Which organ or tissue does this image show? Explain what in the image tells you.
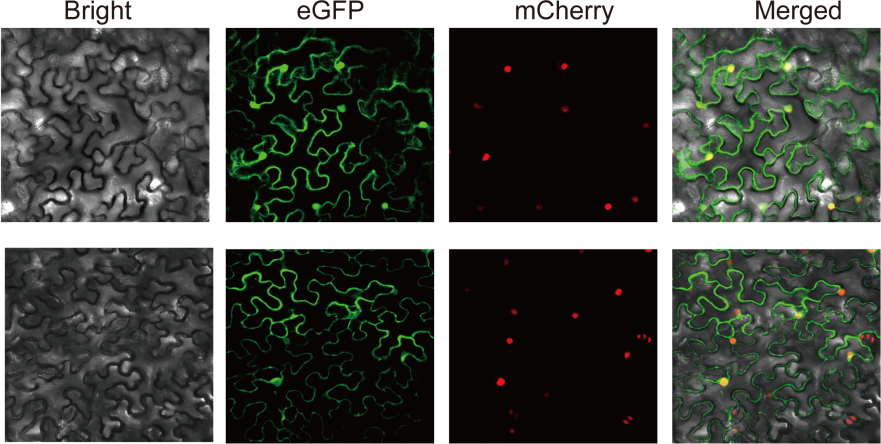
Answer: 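Cells have wavy, interlocking jigsaw-like outlines. A single flat layer of cells is seen from above.
Hence: leaf epidermis.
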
